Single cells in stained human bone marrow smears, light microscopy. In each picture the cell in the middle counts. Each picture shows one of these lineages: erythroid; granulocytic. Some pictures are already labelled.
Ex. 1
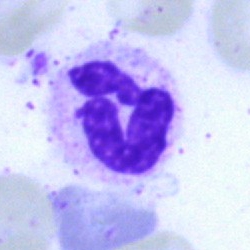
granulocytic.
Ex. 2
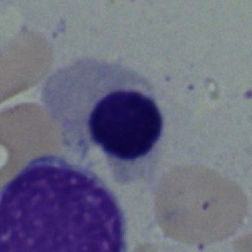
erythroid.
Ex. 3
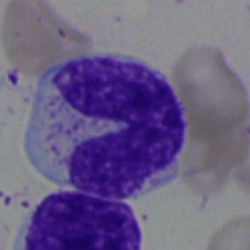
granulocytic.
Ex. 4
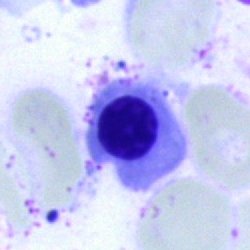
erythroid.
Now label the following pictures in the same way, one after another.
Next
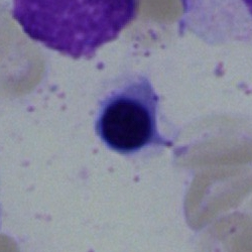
erythroid.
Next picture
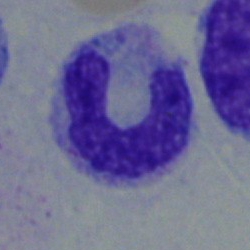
granulocytic.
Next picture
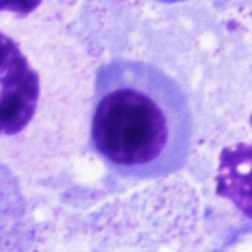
erythroid.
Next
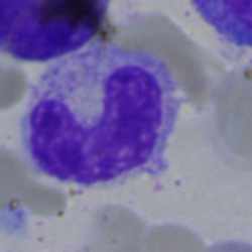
granulocytic.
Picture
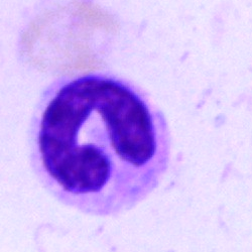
granulocytic.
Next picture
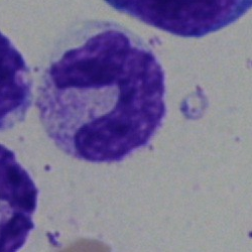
granulocytic.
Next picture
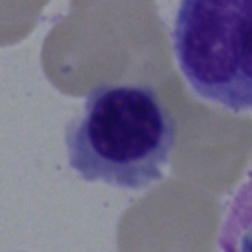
erythroid.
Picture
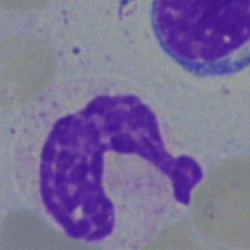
granulocytic.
